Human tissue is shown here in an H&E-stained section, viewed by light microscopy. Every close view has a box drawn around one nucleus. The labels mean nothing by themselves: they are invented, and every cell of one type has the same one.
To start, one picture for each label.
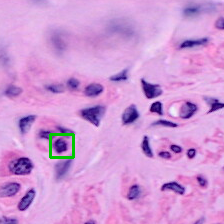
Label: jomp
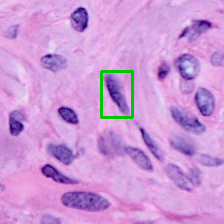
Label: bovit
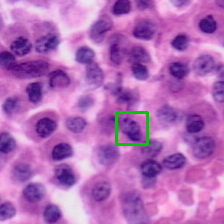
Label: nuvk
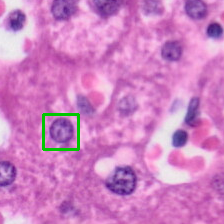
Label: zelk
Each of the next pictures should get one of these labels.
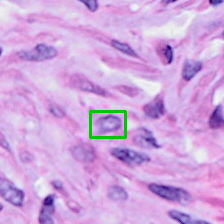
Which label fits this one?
bovit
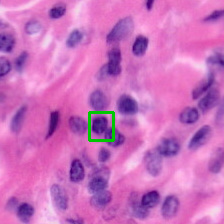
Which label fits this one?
nuvk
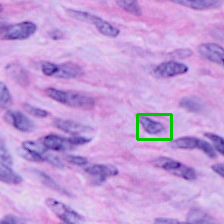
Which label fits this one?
jomp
